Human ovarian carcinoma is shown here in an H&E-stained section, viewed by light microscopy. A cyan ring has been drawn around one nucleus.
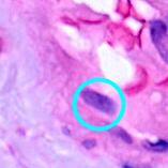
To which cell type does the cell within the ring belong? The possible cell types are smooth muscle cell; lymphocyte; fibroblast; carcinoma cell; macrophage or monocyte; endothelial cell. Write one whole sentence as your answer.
In the stained section, the cell within the ring is an endothelial cell.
